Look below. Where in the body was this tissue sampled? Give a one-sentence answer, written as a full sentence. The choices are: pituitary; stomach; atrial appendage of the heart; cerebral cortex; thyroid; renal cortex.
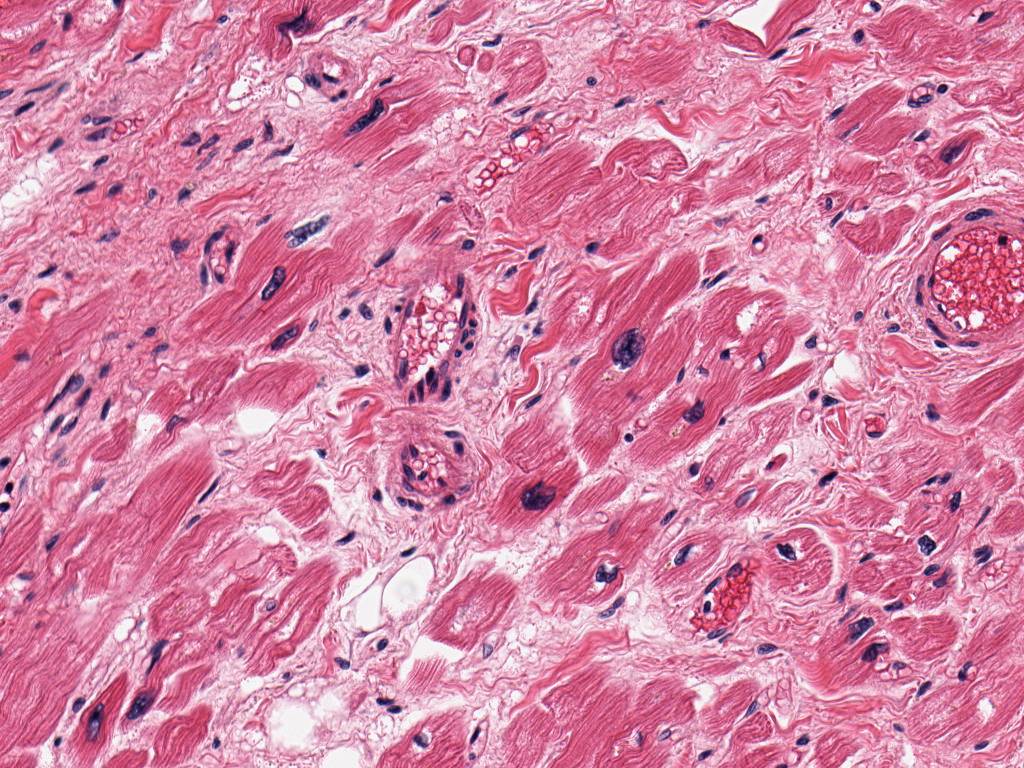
This tissue sample was collected from the atrial appendage of the heart.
